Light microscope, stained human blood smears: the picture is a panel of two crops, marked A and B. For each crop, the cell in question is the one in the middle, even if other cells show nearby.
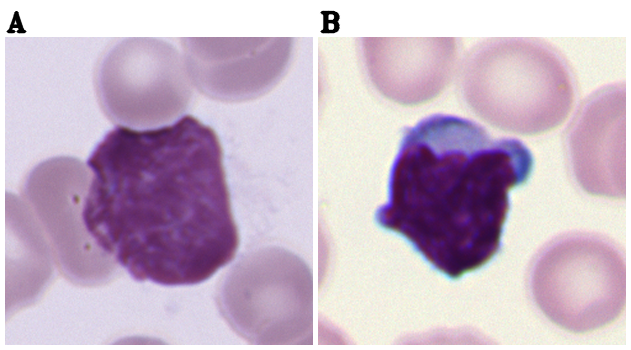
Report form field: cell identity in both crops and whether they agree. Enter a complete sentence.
No, as for crop A, it shows a smudge cell, and crop B shows a typical lymphocyte.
